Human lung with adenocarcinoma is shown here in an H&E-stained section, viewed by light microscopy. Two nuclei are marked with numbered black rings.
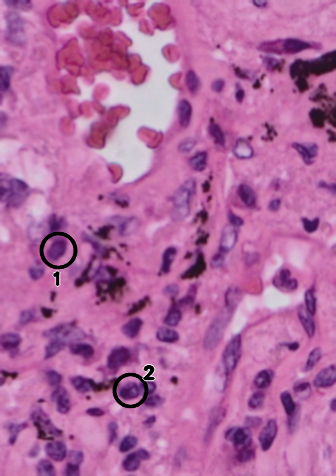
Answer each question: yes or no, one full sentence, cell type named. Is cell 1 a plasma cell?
Yes, that is right: the cell labelled 1 is a plasma cell.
